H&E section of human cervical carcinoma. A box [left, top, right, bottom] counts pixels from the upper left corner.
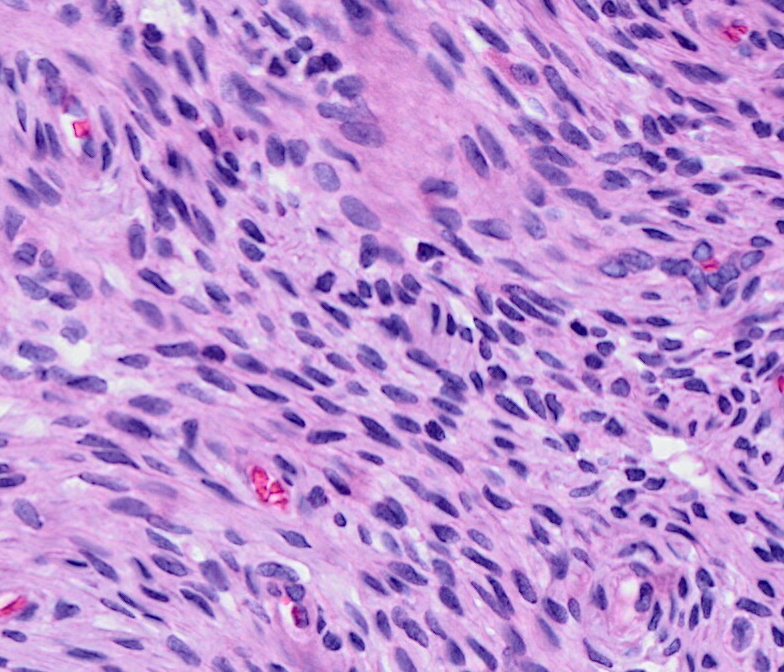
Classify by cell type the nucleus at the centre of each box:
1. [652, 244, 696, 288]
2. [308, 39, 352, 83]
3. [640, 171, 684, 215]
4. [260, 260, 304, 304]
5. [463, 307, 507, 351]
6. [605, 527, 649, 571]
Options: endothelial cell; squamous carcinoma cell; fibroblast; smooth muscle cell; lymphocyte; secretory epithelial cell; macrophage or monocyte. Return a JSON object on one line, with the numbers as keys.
{"1": "endothelial cell", "2": "lymphocyte", "3": "fibroblast", "4": "fibroblast", "5": "fibroblast", "6": "fibroblast"}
